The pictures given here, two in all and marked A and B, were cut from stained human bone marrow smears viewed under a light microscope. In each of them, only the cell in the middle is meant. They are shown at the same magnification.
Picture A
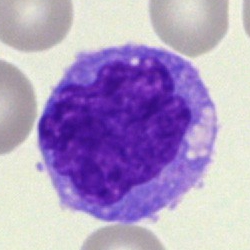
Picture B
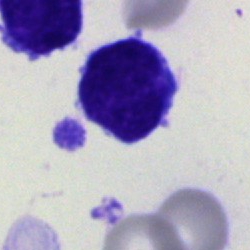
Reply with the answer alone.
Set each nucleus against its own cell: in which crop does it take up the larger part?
B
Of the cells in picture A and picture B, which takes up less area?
B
